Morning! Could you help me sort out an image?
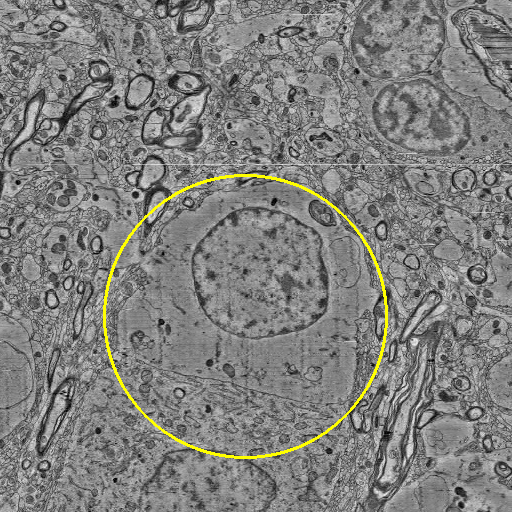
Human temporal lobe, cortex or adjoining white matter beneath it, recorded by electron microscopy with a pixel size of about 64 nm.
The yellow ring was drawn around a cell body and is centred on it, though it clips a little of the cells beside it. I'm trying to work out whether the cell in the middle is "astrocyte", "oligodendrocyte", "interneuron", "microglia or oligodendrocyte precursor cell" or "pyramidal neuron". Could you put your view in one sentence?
The ringed cell body is that of an astrocyte.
